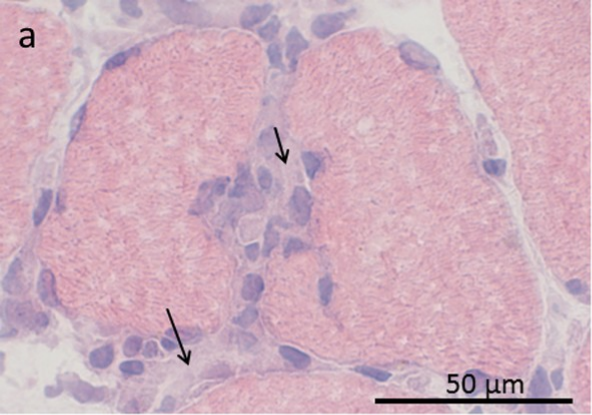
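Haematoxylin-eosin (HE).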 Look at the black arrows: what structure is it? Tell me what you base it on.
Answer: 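Semi-opaque material. The arrows point to a pale, faintly purple-grey material between the clustered nuclei and the pink fibres.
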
